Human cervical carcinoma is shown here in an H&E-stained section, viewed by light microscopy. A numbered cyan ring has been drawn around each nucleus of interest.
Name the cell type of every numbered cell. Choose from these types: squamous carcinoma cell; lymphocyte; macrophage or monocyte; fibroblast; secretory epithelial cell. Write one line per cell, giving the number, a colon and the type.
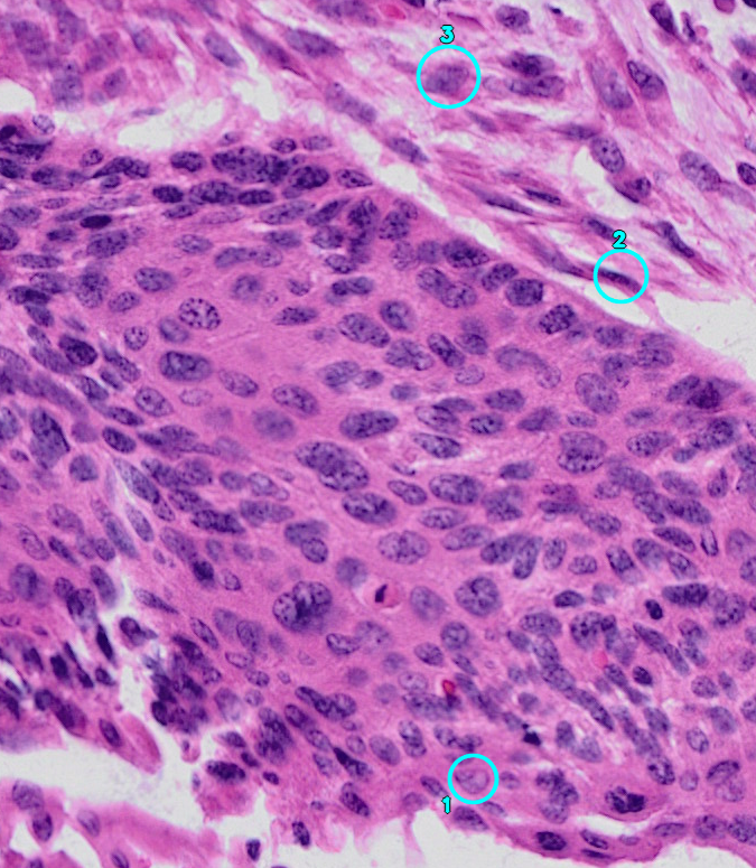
1: squamous carcinoma cell
2: fibroblast
3: fibroblast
